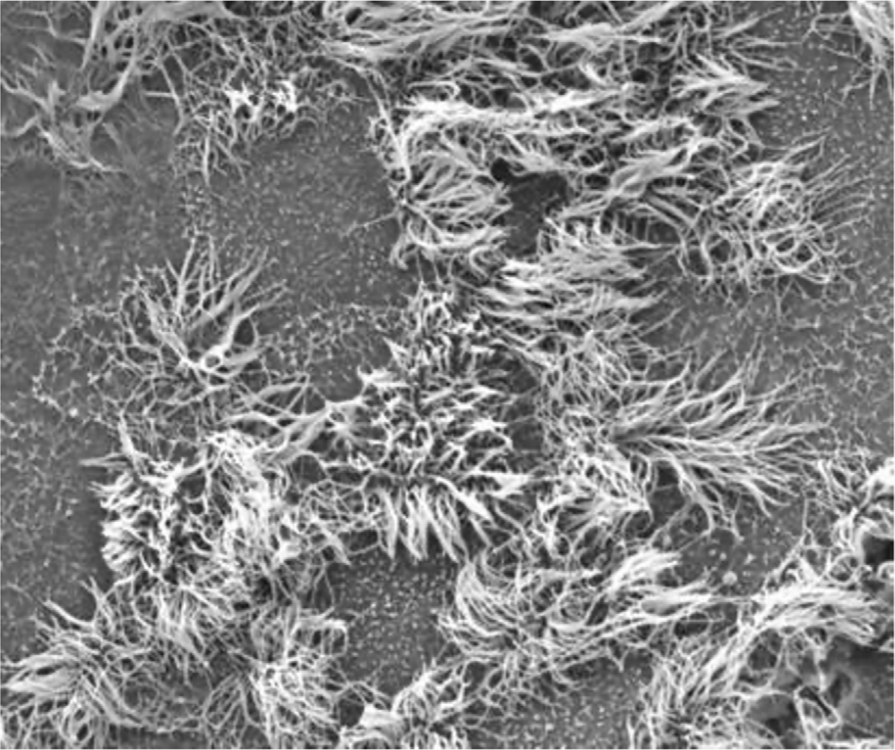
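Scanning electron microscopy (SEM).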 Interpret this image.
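The surface of an epithelial layer is seen from above, with many cells bearing dense tufts of long, slender, hair-like cilia. The tufts are packed in clusters, and between them lie flatter cell surfaces covered only with short, dot-like projections.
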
